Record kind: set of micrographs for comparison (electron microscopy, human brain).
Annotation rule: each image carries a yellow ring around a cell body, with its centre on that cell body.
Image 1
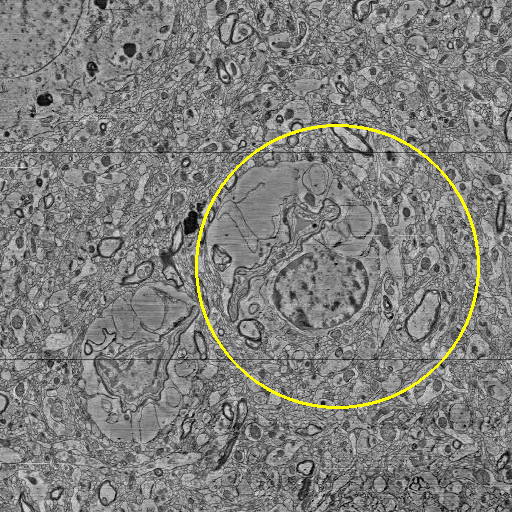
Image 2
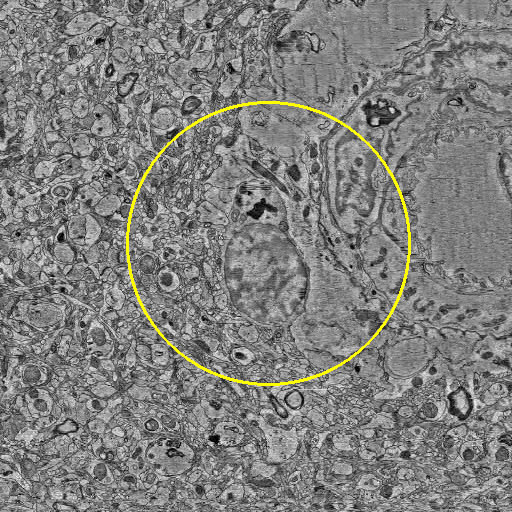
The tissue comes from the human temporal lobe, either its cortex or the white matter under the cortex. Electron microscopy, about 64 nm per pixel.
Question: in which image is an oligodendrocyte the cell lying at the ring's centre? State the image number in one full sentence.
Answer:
In image 2, the ring is centred on the cell in question.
